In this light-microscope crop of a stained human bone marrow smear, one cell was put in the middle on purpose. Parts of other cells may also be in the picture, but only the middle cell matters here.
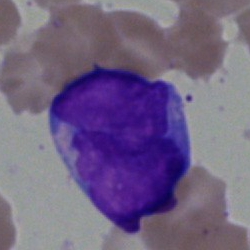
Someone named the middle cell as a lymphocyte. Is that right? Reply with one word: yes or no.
no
